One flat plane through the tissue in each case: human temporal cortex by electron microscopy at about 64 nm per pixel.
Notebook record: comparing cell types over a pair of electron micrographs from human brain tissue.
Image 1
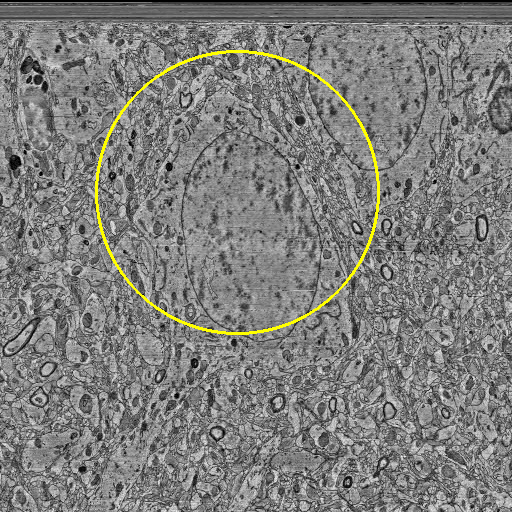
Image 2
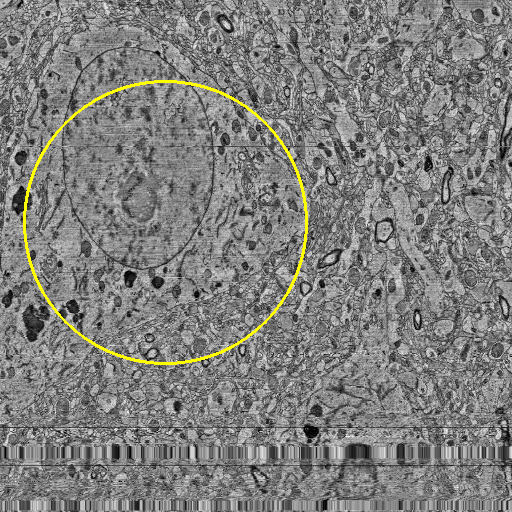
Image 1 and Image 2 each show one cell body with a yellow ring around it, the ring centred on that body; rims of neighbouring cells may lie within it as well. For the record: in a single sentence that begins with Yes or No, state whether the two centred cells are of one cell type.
Yes, one cell type is shared by the centred cells of Image 1 and Image 2.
